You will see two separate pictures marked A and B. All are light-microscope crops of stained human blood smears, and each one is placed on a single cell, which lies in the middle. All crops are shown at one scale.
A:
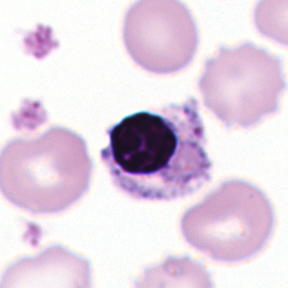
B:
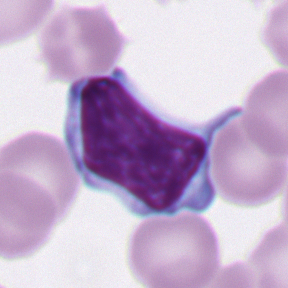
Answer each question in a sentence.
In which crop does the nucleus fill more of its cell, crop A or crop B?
In crop B the nucleus takes up the larger part of its cell.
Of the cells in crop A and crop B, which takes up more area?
Larger is the cell in crop B, at roughly 2 times the area of the other.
